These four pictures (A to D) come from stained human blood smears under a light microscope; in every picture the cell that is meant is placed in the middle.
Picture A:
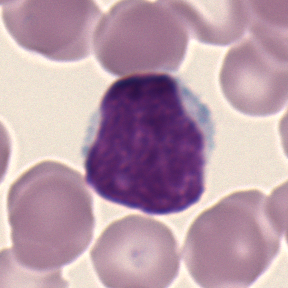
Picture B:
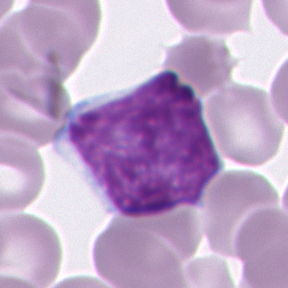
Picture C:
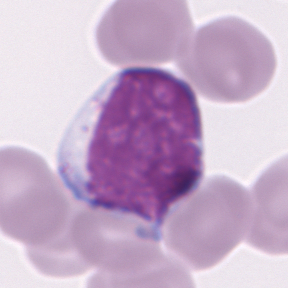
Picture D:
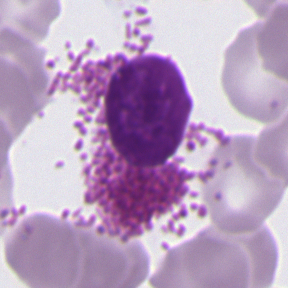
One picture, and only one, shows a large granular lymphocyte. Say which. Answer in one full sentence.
Picture C shows the large granular lymphocyte.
